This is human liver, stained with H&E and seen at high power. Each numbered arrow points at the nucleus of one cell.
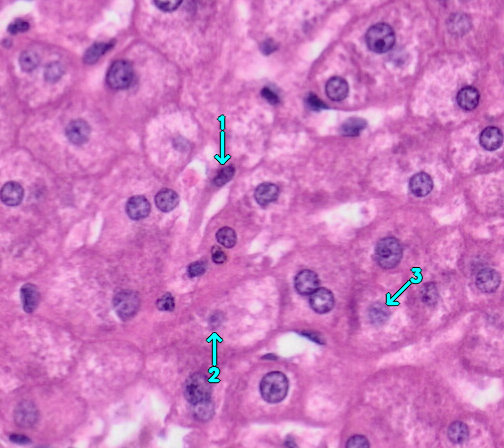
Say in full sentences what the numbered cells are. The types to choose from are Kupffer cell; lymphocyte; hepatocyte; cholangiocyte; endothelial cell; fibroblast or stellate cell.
Cell 1 is a Kupffer cell. Cells 2 and 3 are hepatocytes.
